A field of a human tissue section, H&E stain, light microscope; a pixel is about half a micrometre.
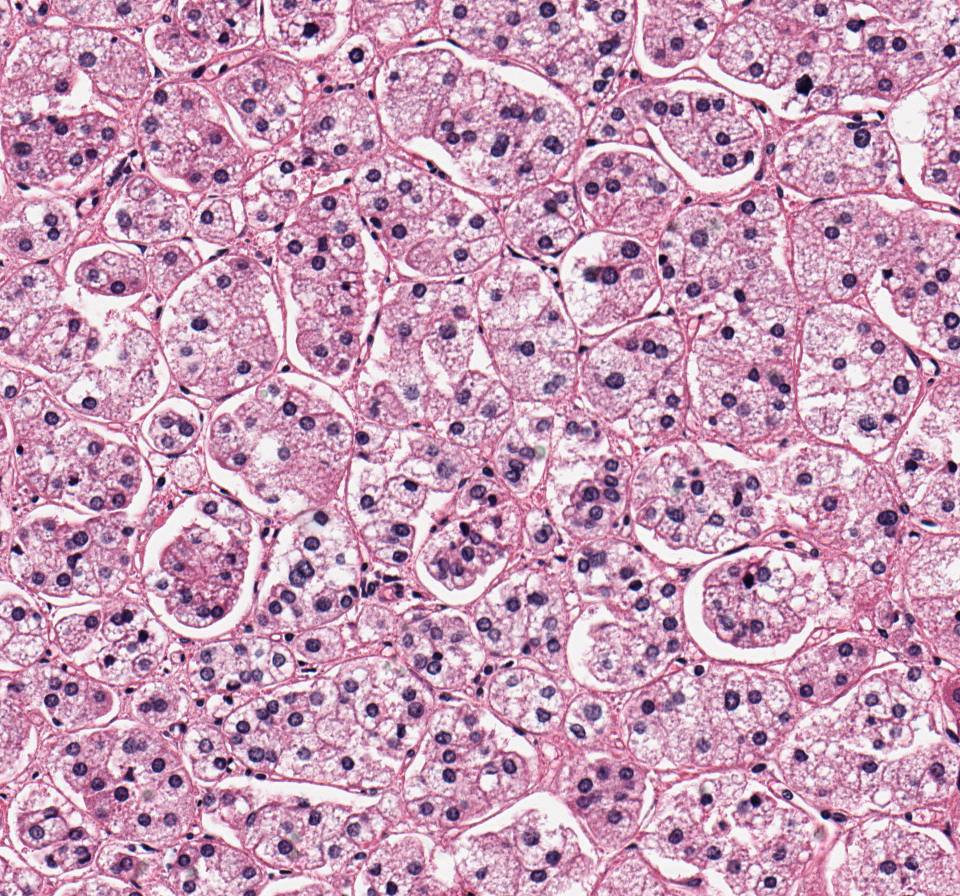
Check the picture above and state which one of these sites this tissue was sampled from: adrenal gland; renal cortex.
adrenal gland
